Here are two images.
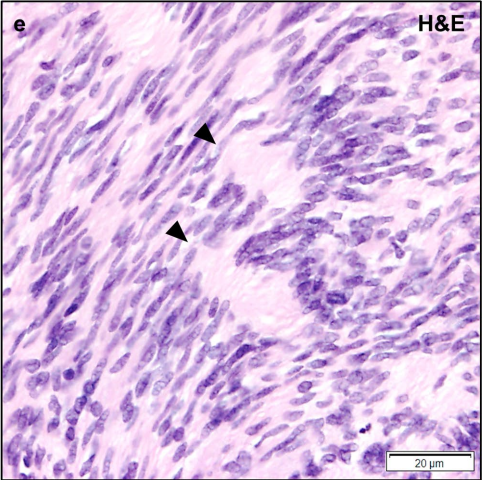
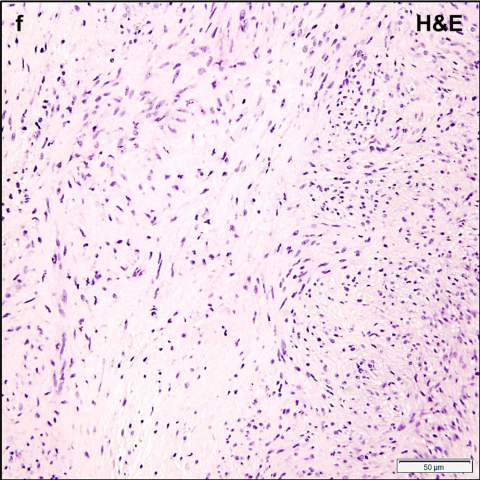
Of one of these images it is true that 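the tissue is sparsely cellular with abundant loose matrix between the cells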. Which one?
The second image.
